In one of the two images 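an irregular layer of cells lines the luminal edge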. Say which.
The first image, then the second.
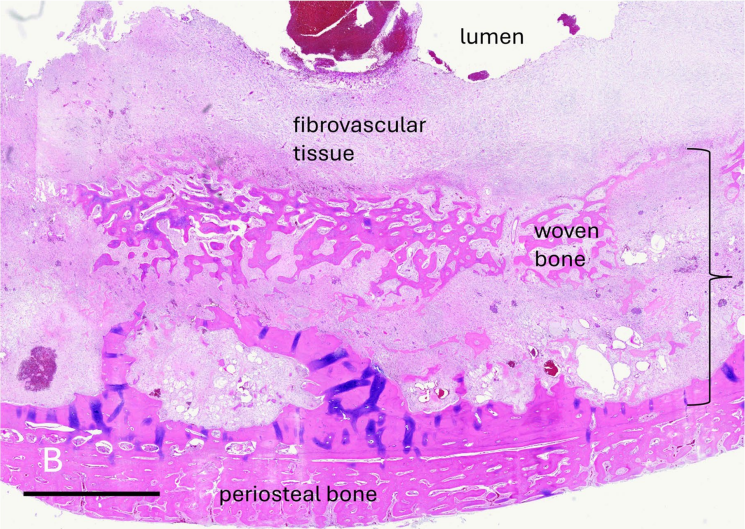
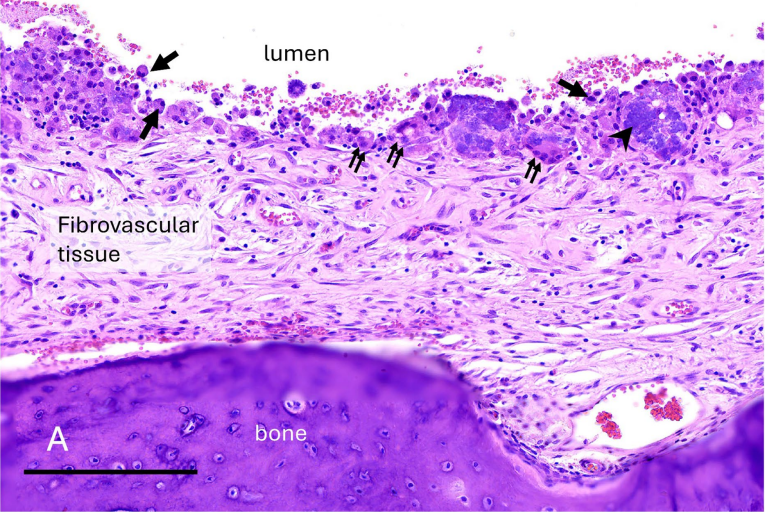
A: The second image.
